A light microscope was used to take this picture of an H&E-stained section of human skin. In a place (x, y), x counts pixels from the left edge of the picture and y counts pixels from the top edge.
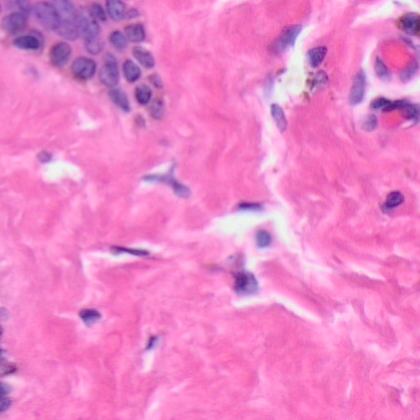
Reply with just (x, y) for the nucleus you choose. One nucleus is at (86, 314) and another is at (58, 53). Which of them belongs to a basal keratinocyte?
(58, 53)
